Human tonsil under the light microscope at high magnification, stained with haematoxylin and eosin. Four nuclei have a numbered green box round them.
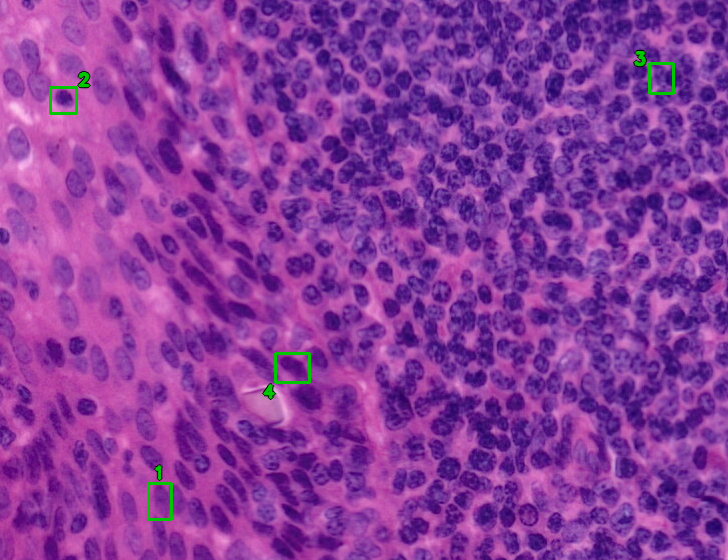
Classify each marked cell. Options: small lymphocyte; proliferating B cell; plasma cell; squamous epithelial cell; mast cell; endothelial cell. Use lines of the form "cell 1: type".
cell 1: squamous epithelial cell
cell 2: squamous epithelial cell
cell 3: small lymphocyte
cell 4: squamous epithelial cell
